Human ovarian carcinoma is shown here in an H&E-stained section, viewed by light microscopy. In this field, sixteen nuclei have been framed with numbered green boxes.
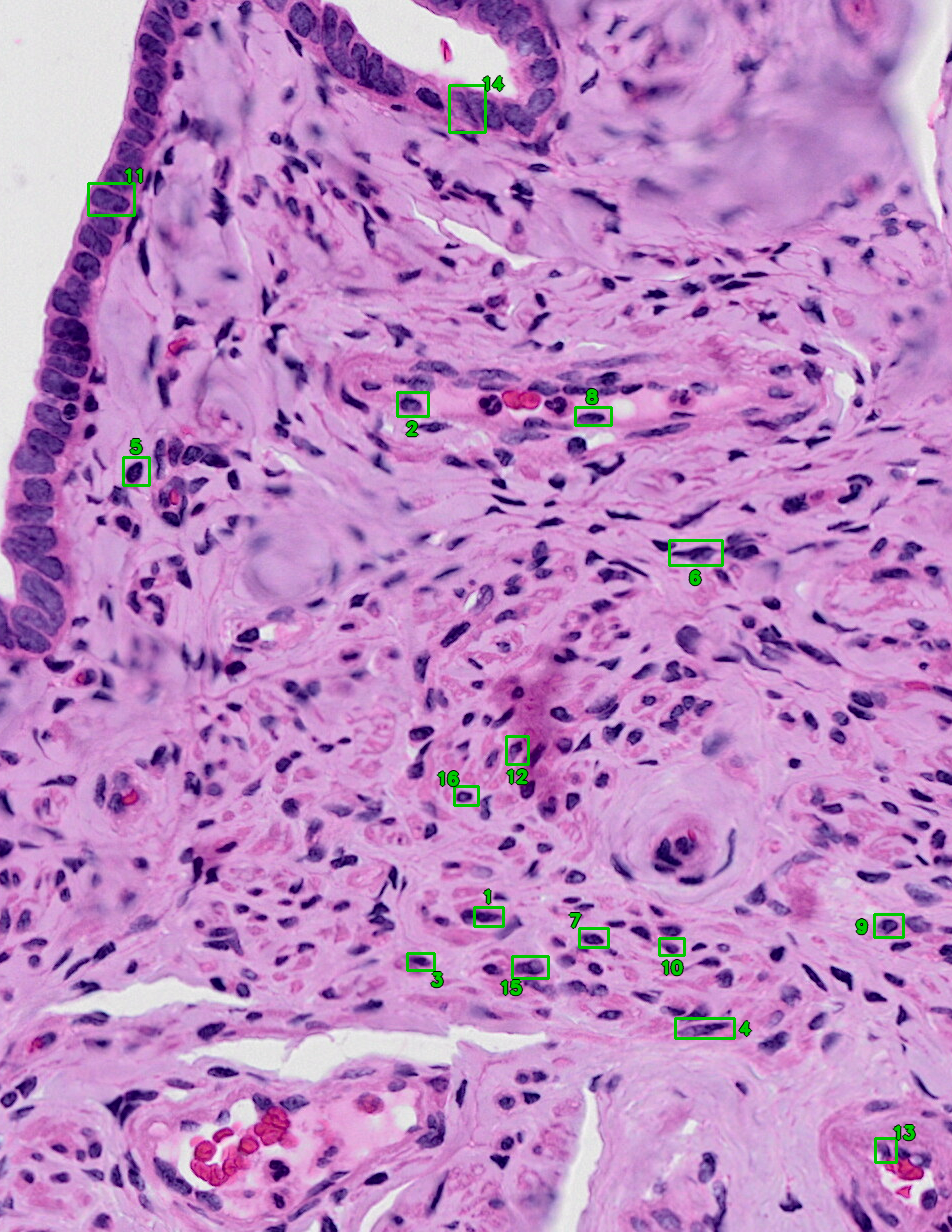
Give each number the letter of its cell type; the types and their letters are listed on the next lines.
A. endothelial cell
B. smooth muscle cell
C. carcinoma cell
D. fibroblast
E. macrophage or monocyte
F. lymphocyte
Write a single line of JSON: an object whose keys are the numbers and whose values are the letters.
{"1": "B", "2": "A", "3": "B", "4": "B", "5": "F", "6": "D", "7": "B", "8": "A", "9": "B", "10": "B", "11": "C", "12": "B", "13": "A", "14": "C", "15": "B", "16": "B"}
